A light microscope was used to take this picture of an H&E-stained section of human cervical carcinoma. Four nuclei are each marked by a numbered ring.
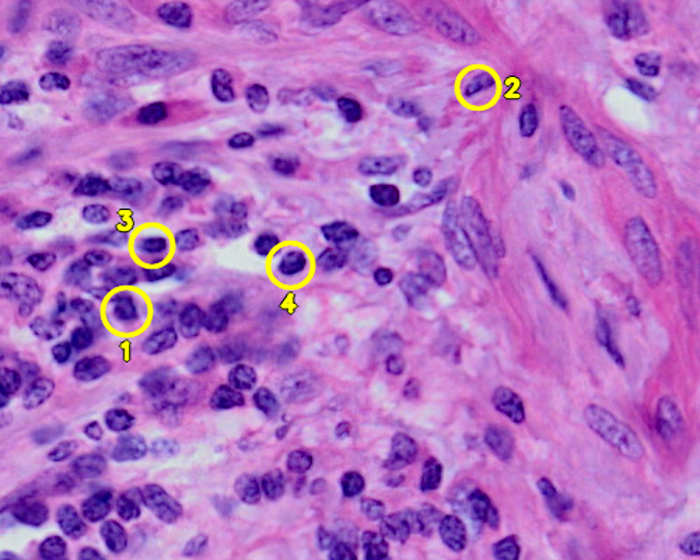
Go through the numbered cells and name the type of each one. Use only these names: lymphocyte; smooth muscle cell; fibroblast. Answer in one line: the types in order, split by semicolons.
lymphocyte; smooth muscle cell; lymphocyte; lymphocyte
